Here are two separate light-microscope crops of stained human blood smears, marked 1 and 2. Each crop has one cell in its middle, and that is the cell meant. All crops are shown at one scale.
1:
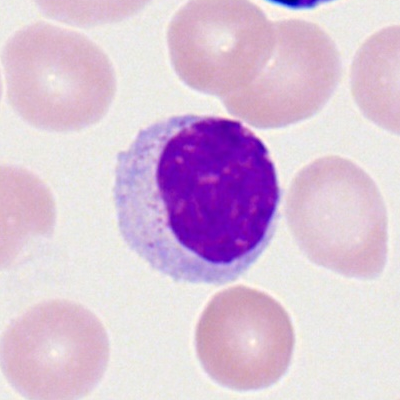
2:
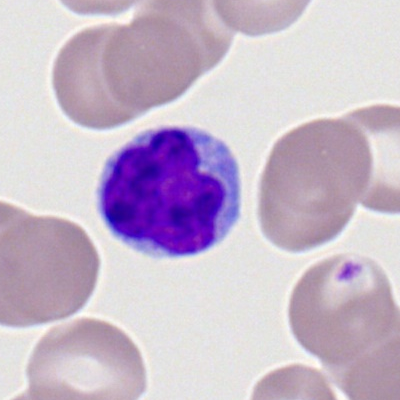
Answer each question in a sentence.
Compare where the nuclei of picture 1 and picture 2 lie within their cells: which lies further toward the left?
It is the nucleus in picture 2 that lies further toward the left of its cell.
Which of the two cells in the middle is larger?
The cell in picture 1 is larger, with about 1.5 times the area of the one in picture 2.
